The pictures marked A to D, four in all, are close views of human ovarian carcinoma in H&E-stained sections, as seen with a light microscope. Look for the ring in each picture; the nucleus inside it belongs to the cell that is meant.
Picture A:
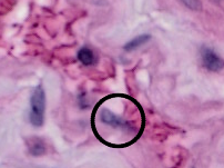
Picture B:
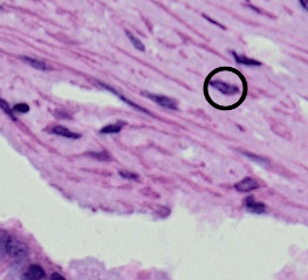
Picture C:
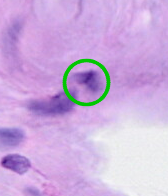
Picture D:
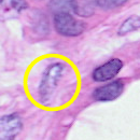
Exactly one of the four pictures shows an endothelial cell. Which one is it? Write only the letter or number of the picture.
A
